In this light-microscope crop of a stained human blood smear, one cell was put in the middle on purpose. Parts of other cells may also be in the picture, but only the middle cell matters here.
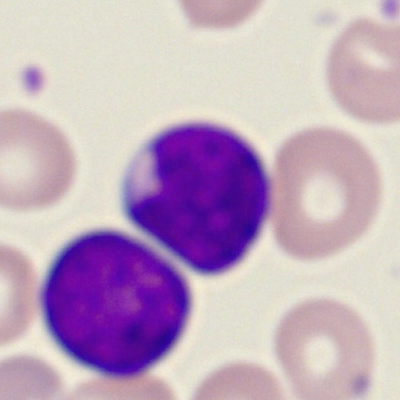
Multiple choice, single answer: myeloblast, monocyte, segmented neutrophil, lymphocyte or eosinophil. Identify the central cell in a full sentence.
The cell in the middle of the field of view is a myeloblast.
